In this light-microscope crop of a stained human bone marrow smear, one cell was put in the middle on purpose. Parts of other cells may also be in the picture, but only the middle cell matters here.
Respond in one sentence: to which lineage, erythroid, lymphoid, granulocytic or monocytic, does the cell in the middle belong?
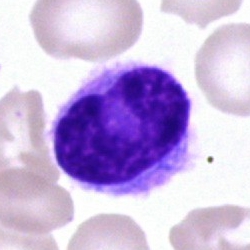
In lineage, the cell at the crop's center is lymphoid.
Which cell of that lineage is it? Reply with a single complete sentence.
Here the centrally located cell is a hairy cell.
